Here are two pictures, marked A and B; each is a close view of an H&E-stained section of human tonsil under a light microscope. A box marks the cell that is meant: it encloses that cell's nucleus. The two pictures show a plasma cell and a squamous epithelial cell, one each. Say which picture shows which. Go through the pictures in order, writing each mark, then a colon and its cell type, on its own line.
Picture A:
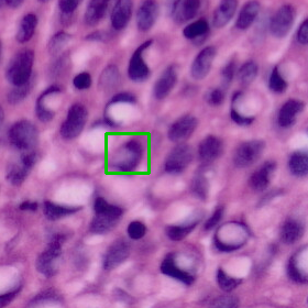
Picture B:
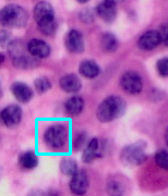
A: squamous epithelial cell
B: plasma cell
